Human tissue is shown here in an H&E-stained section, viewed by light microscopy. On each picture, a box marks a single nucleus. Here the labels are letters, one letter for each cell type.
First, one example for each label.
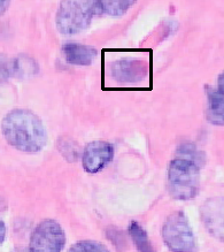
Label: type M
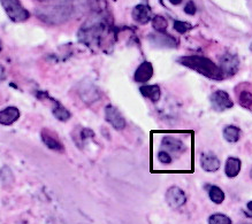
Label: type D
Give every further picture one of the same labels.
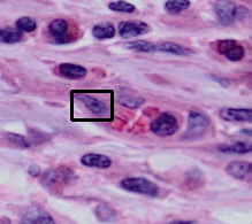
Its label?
type M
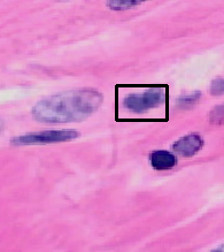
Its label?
type D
